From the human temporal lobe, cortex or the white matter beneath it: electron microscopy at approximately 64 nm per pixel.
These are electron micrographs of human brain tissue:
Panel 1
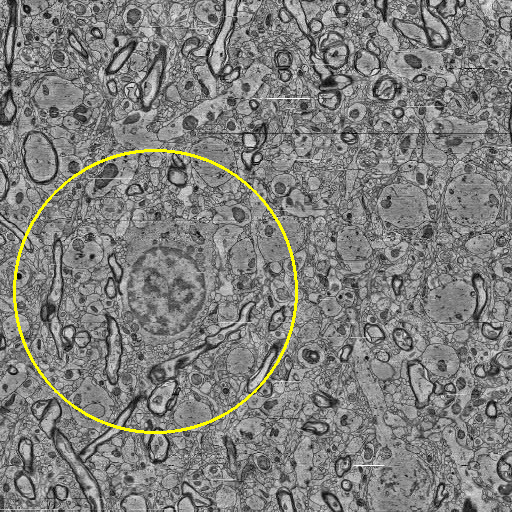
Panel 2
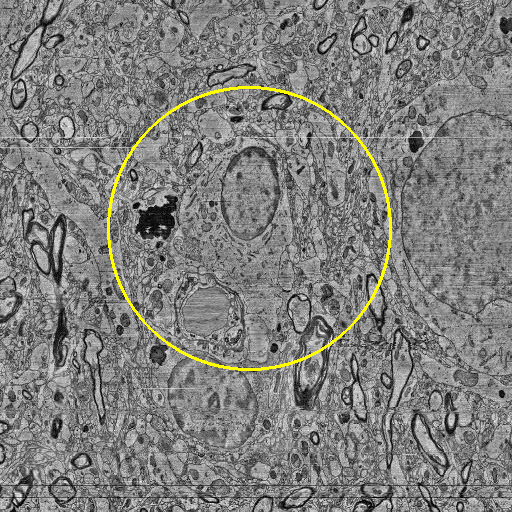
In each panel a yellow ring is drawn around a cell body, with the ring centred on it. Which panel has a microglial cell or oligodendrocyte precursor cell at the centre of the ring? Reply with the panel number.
2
